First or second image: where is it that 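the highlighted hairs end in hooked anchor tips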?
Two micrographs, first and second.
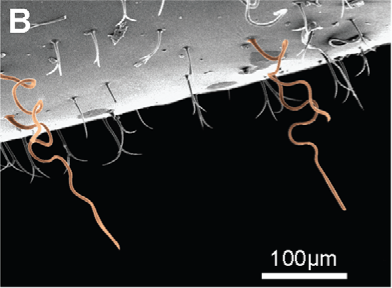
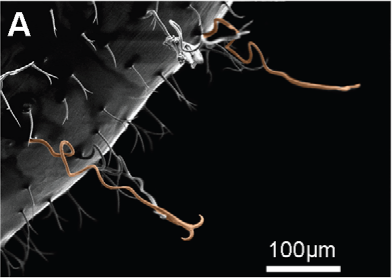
The second image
